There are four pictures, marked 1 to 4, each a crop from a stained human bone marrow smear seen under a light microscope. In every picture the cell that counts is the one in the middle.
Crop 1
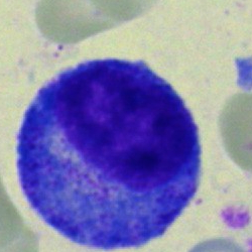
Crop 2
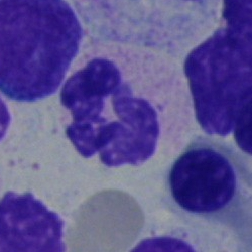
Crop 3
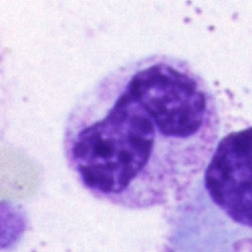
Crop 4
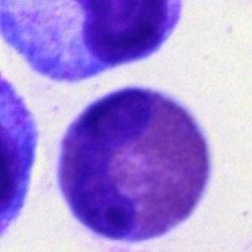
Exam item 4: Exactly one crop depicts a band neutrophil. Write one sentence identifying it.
In this set, crop 3 is the one showing a band neutrophil.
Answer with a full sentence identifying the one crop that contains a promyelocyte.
Identified crop: 1, the one that shows a promyelocyte.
